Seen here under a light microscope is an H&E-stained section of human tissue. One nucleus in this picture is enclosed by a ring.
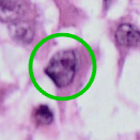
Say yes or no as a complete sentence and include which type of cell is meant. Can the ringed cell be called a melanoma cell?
Yes, the ringed cell qualifies as a melanoma cell in this section.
